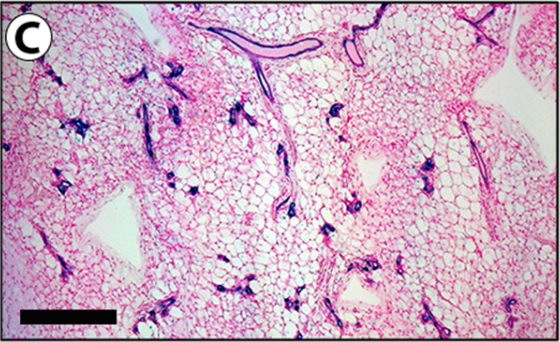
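Small epithelial structures, including elongated ducts and little clusters, are scattered between the lobules of fat, and many of them are stained dark blue. A few larger pale spaces and thin-walled tubular profiles also run through the fat.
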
